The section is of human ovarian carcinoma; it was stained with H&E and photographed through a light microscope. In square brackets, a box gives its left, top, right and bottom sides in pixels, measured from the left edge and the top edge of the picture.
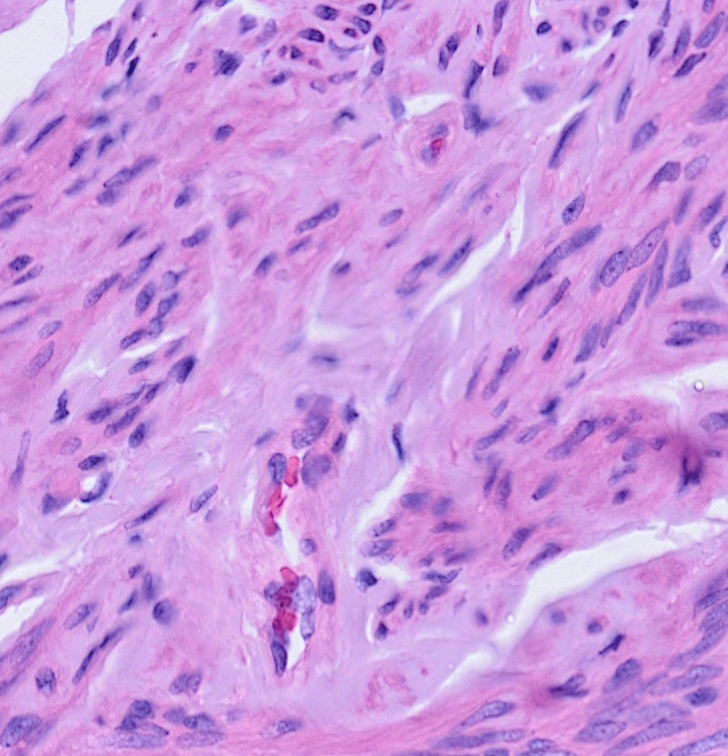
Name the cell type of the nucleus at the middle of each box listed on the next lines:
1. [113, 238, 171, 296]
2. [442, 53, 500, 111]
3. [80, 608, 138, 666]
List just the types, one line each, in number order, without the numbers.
smooth muscle cell
fibroblast
smooth muscle cell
